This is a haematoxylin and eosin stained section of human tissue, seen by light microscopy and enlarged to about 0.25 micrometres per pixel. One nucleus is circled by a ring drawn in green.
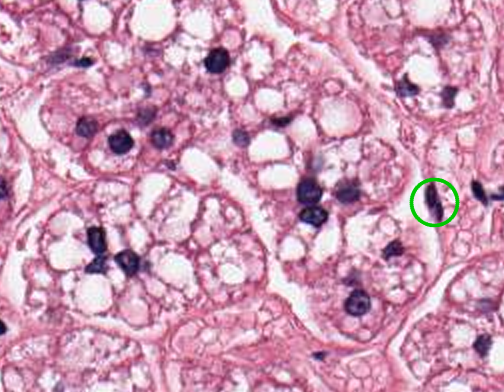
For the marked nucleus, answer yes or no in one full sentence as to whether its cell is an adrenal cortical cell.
No, the marked nucleus is the nucleus of a supporting cell rather than of an adrenal cortical cell.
